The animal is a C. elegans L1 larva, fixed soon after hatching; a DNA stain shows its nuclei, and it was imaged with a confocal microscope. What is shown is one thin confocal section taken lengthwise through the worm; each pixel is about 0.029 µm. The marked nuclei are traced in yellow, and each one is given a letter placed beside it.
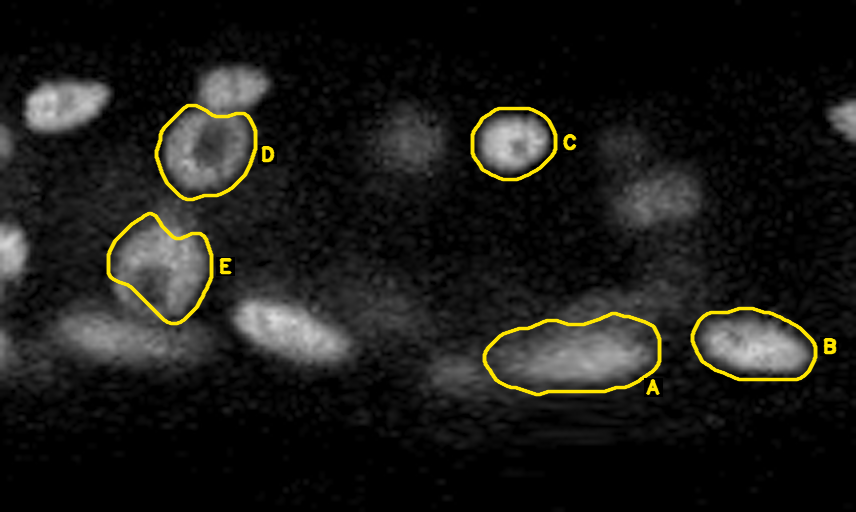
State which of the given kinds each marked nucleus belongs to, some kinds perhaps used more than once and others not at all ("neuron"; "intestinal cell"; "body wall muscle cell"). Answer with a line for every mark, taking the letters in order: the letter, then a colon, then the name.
A: body wall muscle cell
B: body wall muscle cell
C: body wall muscle cell
D: intestinal cell
E: intestinal cell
